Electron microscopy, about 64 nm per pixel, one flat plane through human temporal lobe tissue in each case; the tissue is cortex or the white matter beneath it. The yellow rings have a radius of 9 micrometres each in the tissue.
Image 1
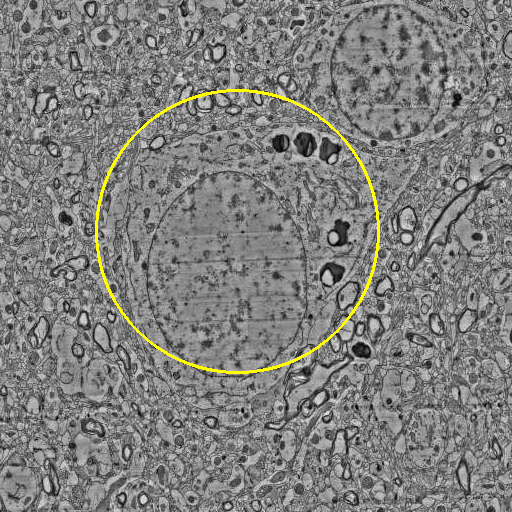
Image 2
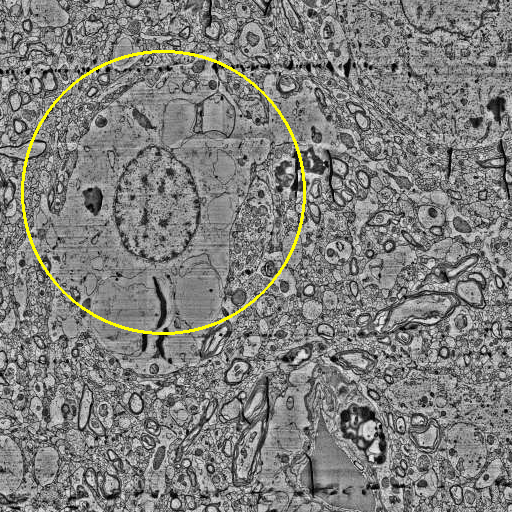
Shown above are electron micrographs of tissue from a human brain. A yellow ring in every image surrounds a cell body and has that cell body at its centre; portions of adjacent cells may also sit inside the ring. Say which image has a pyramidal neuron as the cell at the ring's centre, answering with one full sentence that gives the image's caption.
The image whose ring is centred on the requested cell is Image 1.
